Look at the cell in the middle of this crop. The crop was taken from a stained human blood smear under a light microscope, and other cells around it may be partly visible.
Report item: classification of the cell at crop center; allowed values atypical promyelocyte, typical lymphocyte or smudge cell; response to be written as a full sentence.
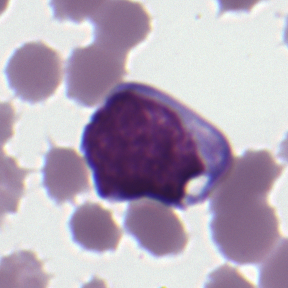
The single cell at the center of the crop is a typical lymphocyte.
